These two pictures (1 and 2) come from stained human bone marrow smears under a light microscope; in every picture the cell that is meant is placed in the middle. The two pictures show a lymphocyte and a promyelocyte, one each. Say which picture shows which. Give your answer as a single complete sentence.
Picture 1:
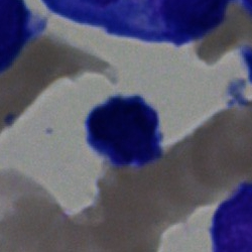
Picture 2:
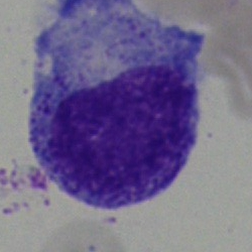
Picture 1 shows a lymphocyte and picture 2 shows a promyelocyte.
